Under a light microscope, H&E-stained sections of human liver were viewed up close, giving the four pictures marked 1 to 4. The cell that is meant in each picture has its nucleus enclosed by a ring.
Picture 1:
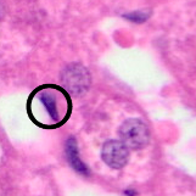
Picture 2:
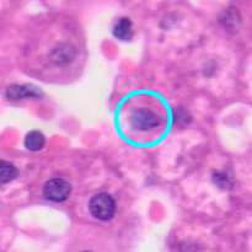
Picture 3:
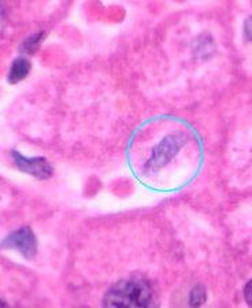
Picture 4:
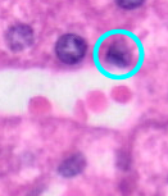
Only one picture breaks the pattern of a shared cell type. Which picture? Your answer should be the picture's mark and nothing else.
3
